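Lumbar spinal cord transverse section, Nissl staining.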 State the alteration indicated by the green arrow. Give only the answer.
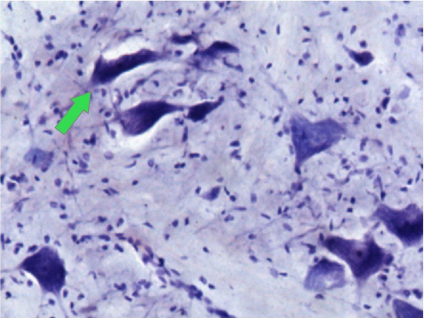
Abnormal motor neurons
